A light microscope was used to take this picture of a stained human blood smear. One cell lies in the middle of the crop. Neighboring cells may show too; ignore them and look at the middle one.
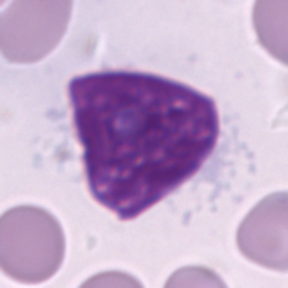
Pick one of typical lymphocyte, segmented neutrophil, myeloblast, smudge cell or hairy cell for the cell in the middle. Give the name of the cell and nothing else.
smudge cell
